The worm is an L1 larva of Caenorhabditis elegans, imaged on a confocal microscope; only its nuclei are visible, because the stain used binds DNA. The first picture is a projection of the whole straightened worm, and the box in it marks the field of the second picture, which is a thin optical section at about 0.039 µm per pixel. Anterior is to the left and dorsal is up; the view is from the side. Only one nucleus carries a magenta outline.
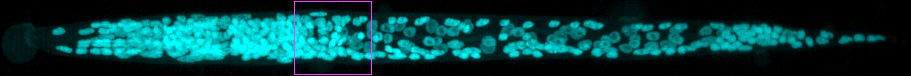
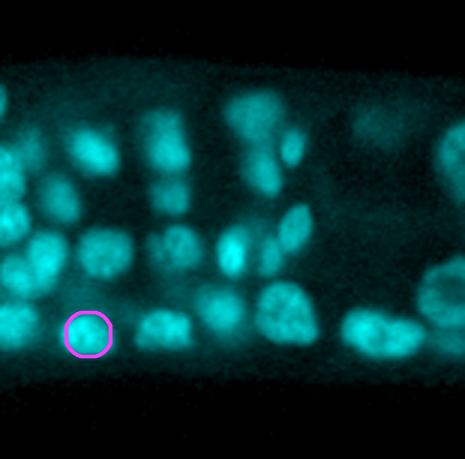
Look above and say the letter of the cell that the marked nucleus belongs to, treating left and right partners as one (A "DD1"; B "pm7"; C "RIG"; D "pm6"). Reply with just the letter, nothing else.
C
